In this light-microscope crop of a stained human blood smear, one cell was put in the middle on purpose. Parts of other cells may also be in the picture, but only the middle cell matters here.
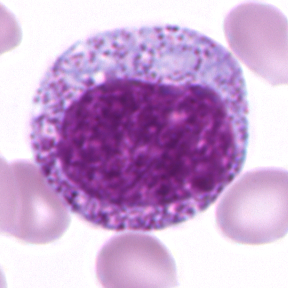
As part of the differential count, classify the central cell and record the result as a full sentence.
What the crop centres on is a myelocyte.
